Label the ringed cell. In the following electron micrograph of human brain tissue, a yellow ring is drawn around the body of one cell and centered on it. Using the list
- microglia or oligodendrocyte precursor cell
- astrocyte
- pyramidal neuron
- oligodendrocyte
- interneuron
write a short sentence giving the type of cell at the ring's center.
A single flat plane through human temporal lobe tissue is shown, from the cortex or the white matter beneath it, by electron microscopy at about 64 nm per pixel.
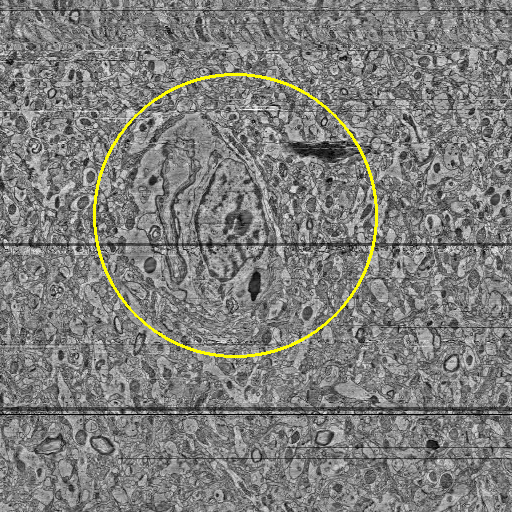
The cell body at the ring's center is that of a microglial cell or oligodendrocyte precursor cell.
